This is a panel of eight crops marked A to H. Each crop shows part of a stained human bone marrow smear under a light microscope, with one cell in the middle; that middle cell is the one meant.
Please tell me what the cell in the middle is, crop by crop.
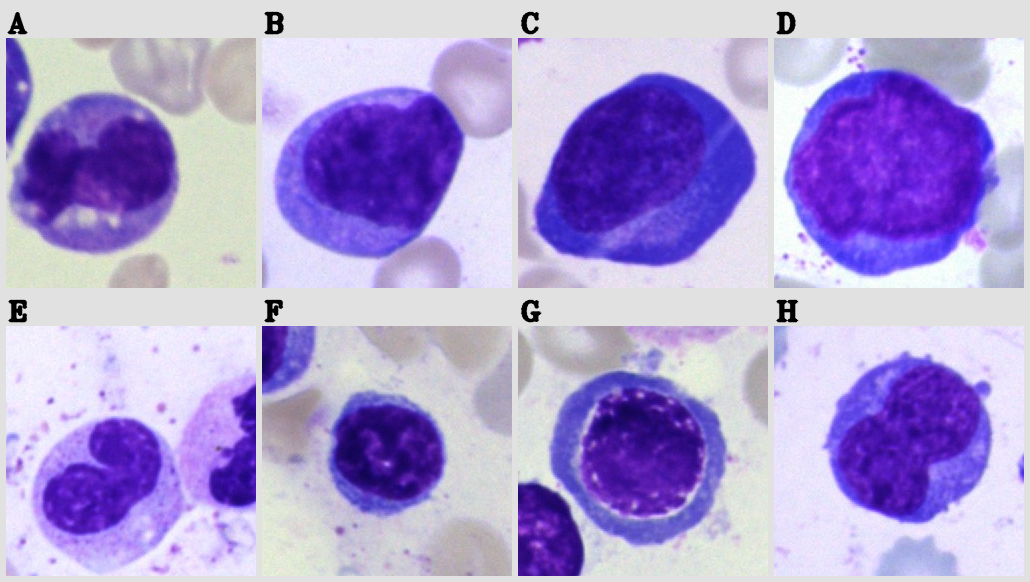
A: monocyte
B: blast
C: plasma cell
D: blast
E: metamyelocyte
F: lymphocyte
G: erythroblast
H: blast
